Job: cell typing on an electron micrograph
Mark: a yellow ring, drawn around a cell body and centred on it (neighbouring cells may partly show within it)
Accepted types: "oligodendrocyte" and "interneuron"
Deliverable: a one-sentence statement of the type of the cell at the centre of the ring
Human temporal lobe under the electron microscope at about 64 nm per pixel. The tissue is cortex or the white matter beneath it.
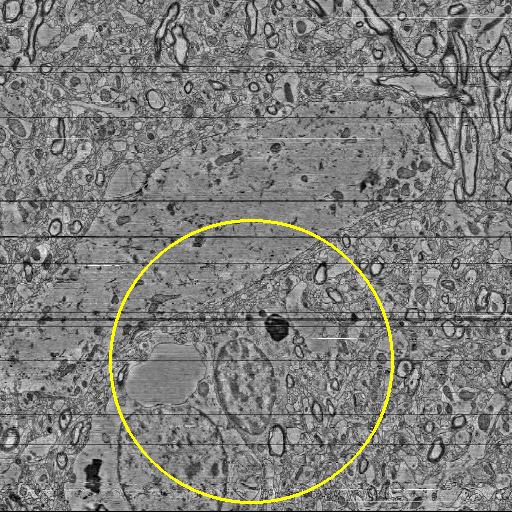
The centred cell body is that of an oligodendrocyte.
